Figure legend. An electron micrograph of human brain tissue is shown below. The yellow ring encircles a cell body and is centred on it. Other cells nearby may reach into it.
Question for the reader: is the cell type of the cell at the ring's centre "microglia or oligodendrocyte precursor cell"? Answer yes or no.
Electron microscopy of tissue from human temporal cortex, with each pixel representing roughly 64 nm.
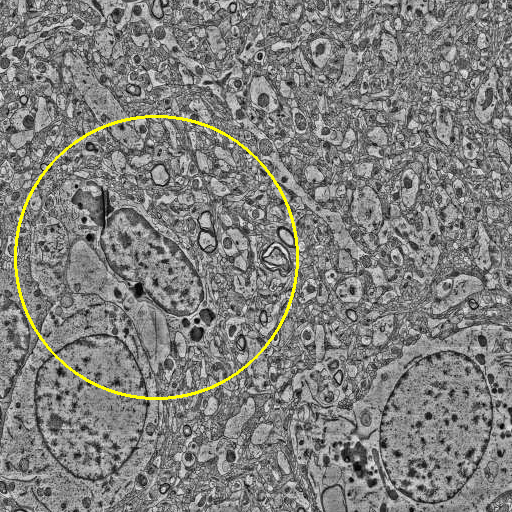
yes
